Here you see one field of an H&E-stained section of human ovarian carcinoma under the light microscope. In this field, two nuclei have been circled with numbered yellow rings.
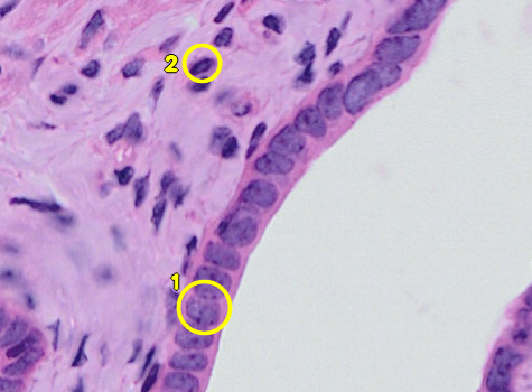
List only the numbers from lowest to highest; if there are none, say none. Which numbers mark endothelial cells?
2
